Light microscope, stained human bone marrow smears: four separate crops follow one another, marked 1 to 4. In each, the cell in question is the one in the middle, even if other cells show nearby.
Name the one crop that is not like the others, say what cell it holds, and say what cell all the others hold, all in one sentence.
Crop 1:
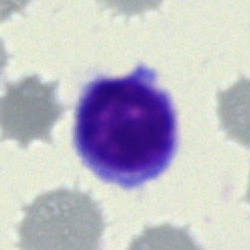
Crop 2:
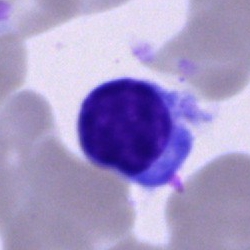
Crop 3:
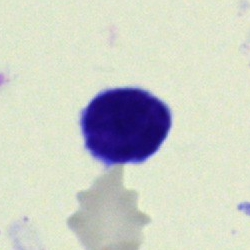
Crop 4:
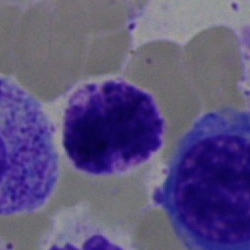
Whereas the other crops all show lymphocytes, crop 4 shows a basophil.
